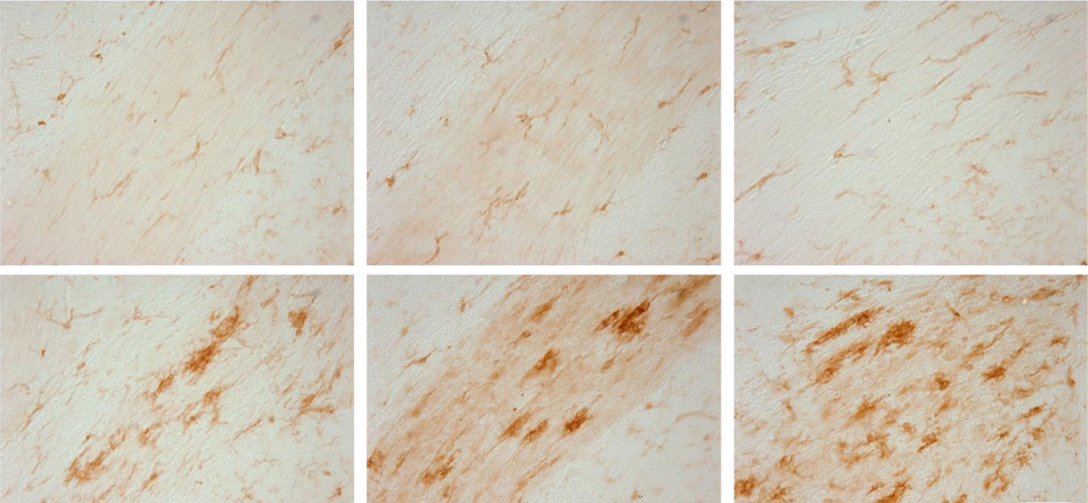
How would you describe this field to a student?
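This is a grid of six fields of pale, finely streaked white-matter tissue in which scattered cells are stained brown. In the upper row the brown cells are sparse, each with a small body and several thin, branching processes spread out in the tissue between them. In the lower row the brown cells are more numerous and more darkly stained, with thicker, bulkier bodies and shorter processes. Some of them gather into dense clumps that line up along the grain of the fibres. These are the resident immune cells of the nervous tissue, microglia and macrophages. They are seen at rest in the upper row and in a crowded, thickened state in the lower row.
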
